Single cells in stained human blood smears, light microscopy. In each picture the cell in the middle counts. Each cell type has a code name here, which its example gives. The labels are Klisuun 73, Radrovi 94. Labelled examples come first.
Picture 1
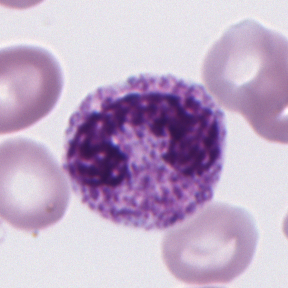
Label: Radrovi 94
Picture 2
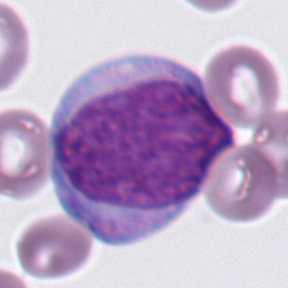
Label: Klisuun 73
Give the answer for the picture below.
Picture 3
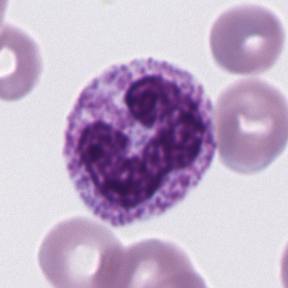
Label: Radrovi 94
